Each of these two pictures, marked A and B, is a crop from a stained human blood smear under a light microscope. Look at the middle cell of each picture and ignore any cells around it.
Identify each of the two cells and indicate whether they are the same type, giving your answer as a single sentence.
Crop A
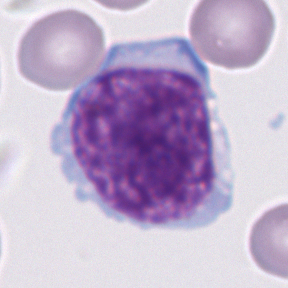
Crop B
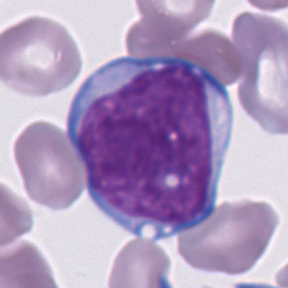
Yes, blasts are centred in both crops.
